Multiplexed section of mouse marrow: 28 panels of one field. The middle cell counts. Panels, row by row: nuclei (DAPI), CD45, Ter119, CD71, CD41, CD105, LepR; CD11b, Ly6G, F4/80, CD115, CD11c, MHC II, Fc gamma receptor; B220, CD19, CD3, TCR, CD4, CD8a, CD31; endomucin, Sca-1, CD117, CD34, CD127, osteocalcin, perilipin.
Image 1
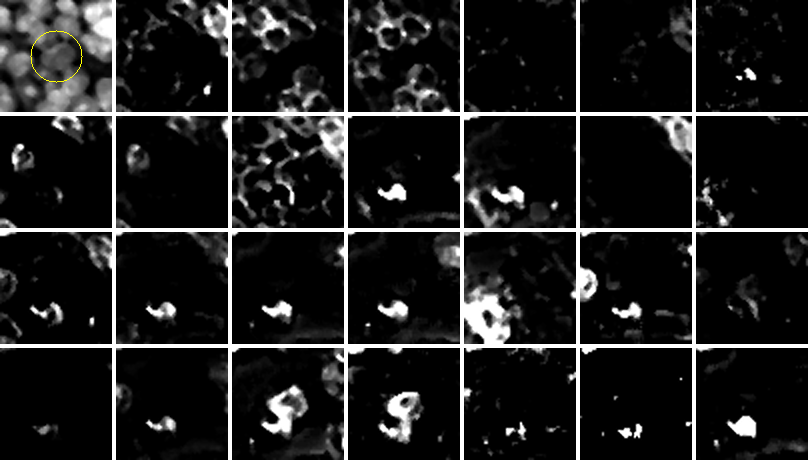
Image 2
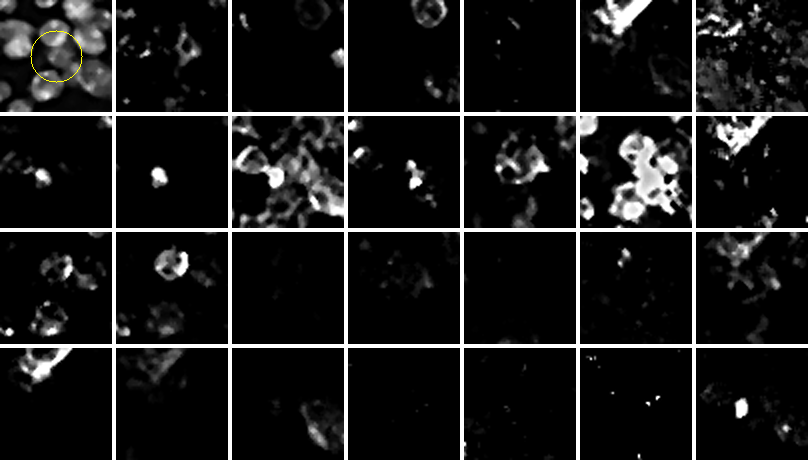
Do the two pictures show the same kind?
No: a common myeloid progenitor, then a conventional dendritic cell.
